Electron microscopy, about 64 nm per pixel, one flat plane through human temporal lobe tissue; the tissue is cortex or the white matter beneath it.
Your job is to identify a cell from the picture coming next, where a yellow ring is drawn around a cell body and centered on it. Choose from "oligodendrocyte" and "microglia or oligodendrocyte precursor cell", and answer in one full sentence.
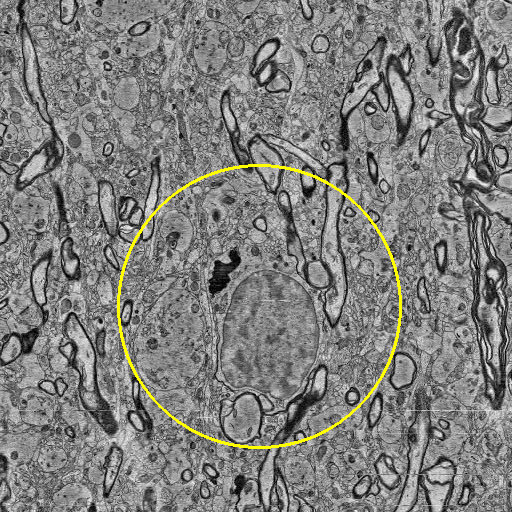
Centered in the yellow ring of the picture is the body of an oligodendrocyte.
